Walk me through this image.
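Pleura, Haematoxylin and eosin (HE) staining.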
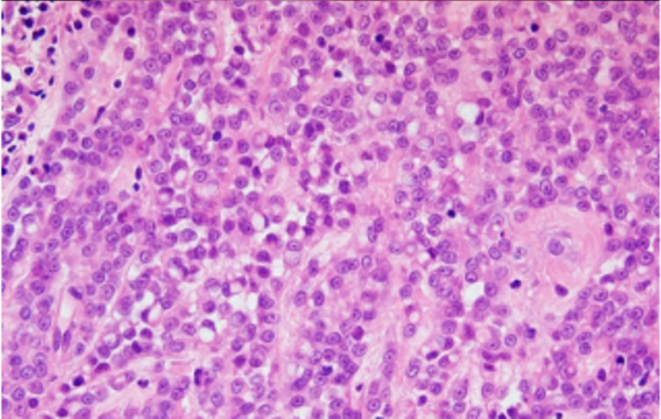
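Epithelioid tumour cells fill the field in dense sheets and cords, separated by thin strands of pink fibrous stroma. The cells are polygonal with moderate amounts of pink cytoplasm and fairly uniform round nuclei, many with a distinct nucleolus. A few darker, smaller nuclei and small clear spaces lie scattered between the tumour cells.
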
